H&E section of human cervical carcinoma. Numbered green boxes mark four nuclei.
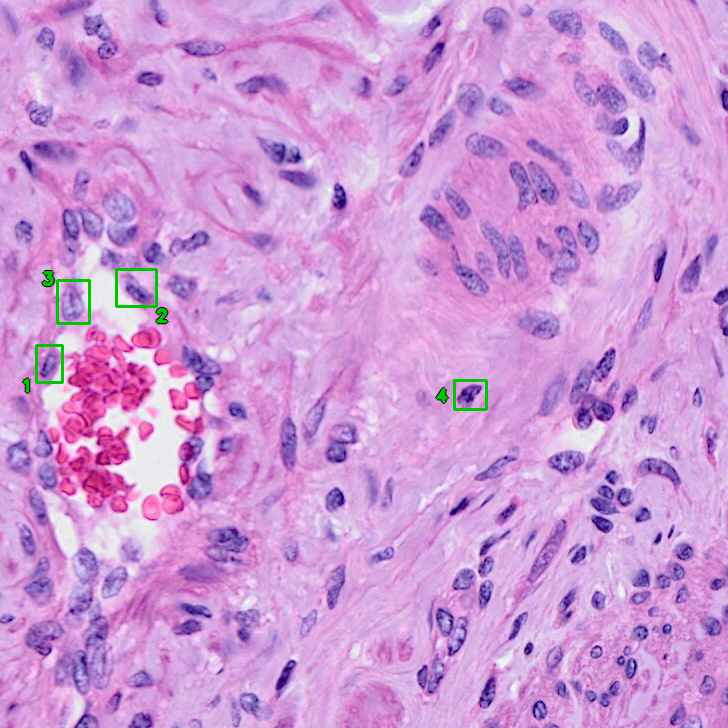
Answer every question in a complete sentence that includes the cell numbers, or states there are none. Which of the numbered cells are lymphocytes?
Only the cell at mark 4 is a lymphocyte, and no other marked cell is.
